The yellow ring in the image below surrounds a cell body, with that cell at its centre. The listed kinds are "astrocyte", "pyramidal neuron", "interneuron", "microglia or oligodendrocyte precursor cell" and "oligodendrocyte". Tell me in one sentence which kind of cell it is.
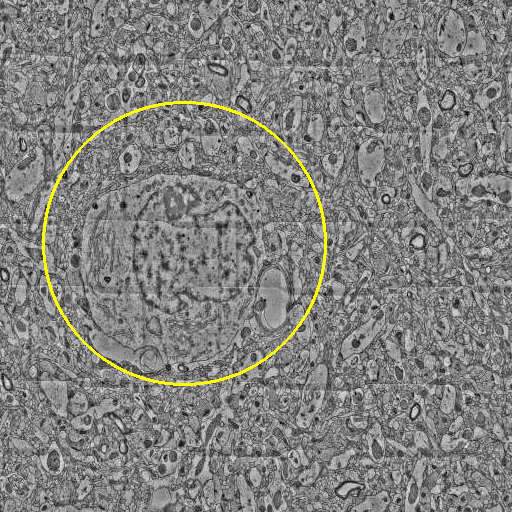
The centre of the ring holds an interneuron.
